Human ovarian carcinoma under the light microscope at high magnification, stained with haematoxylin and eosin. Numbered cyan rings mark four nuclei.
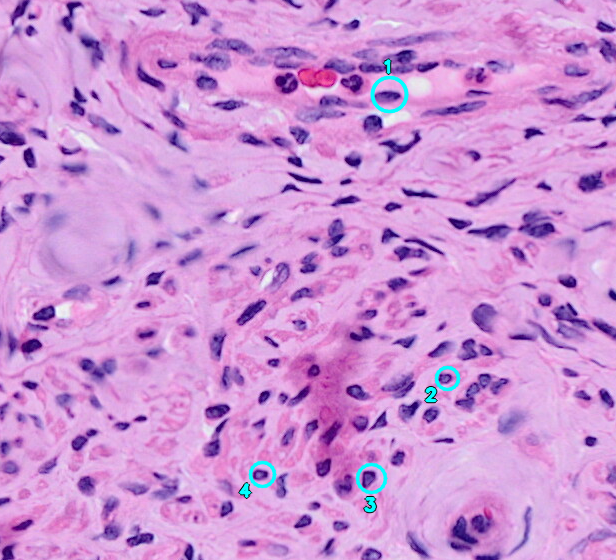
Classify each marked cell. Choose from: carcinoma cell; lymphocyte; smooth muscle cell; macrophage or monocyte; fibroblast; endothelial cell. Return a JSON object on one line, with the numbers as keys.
{"1": "endothelial cell", "2": "smooth muscle cell", "3": "smooth muscle cell", "4": "smooth muscle cell"}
